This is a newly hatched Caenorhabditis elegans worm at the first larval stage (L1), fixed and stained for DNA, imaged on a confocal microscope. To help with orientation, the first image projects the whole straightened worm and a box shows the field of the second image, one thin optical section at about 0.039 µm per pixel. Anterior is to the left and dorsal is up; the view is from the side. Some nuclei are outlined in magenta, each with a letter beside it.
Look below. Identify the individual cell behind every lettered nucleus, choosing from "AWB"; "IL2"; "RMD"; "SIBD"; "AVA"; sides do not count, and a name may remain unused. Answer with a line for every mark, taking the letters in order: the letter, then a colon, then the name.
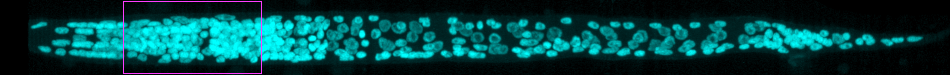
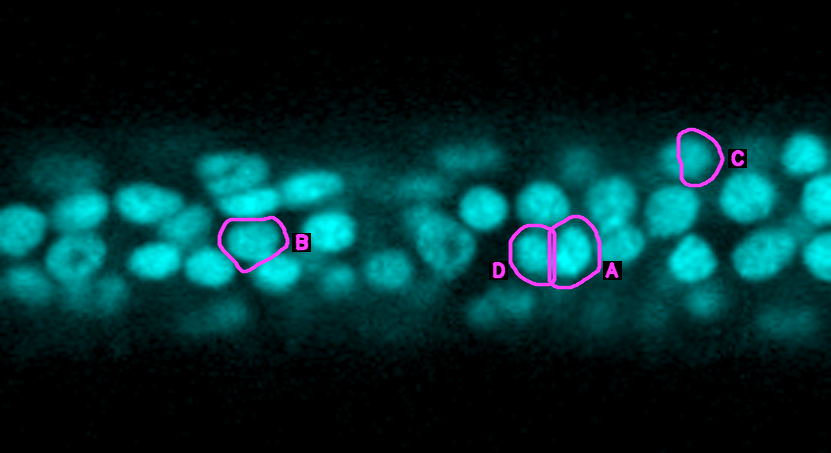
A: SIBD
B: IL2
C: AWB
D: RMD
